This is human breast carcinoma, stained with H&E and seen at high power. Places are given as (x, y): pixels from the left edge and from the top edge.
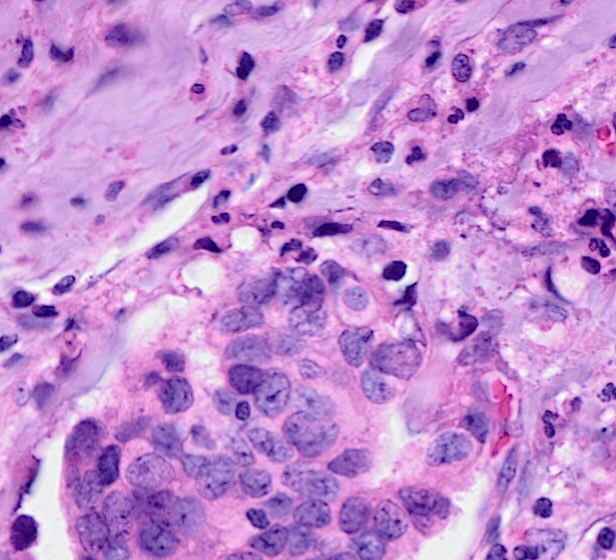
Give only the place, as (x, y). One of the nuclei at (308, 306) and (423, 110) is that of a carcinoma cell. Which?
(308, 306)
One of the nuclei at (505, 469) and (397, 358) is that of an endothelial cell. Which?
(505, 469)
